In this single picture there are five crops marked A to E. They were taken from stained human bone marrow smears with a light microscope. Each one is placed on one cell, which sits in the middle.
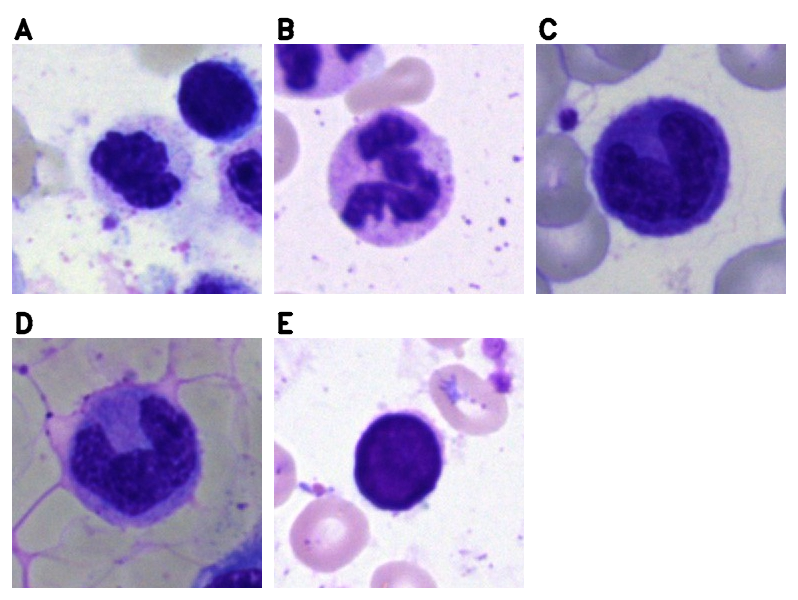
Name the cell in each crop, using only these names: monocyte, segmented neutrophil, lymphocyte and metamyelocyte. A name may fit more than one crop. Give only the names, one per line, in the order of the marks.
segmented neutrophil
segmented neutrophil
monocyte
monocyte
lymphocyte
